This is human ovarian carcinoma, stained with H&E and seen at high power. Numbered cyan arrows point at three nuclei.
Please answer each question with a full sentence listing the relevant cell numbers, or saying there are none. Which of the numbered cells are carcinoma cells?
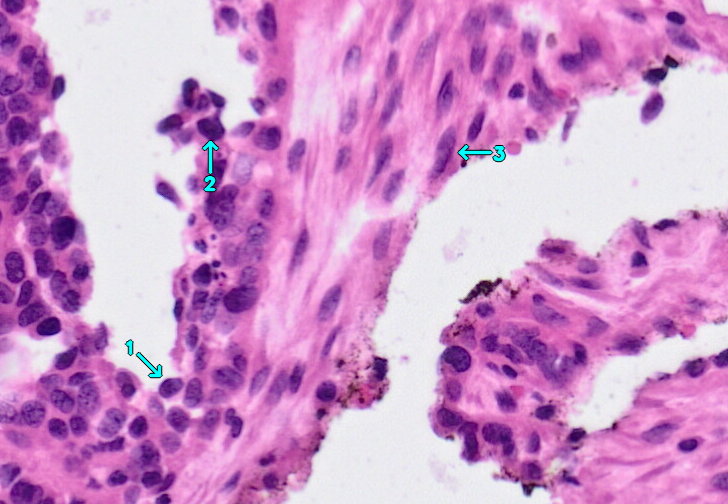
The cells bearing the numbers 1 and 2 are carcinoma cells.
